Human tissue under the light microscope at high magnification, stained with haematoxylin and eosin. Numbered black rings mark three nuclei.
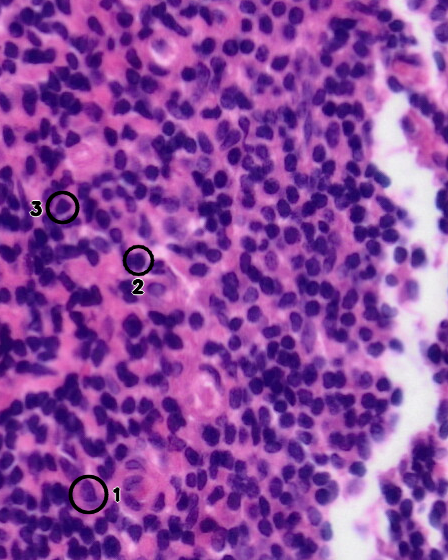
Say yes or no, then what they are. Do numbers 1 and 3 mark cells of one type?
No, cell 1 is an endothelial cell and cell 3 is a small lymphocyte.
